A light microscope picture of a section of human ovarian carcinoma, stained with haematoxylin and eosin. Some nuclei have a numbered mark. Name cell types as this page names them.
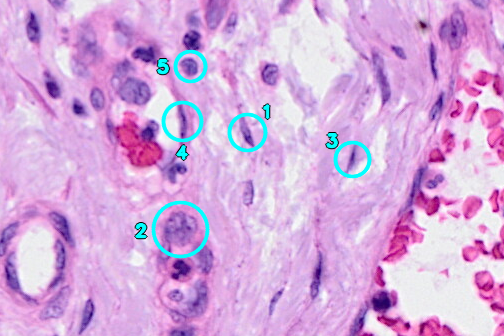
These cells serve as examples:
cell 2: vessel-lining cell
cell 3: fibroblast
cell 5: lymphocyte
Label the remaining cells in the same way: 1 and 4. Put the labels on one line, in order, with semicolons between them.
fibroblast; vessel-lining cell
